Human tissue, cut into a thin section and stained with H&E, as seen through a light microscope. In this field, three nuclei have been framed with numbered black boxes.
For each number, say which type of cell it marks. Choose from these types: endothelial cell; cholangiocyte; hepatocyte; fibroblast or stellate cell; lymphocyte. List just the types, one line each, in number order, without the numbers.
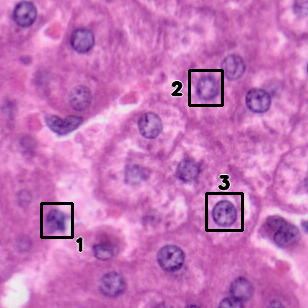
endothelial cell
hepatocyte
hepatocyte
